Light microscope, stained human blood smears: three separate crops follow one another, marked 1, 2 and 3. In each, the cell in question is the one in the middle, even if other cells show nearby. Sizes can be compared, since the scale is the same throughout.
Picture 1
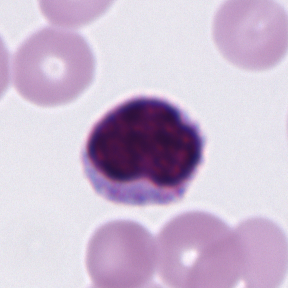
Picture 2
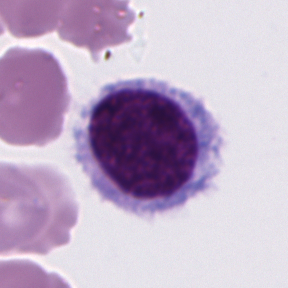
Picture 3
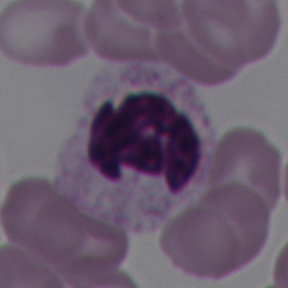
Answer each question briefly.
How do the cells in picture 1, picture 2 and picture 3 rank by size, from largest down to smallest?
3, 2, 1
